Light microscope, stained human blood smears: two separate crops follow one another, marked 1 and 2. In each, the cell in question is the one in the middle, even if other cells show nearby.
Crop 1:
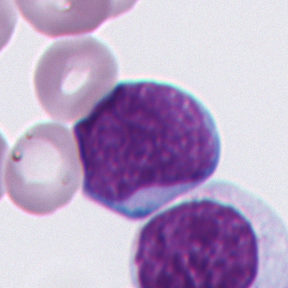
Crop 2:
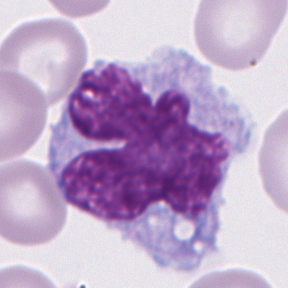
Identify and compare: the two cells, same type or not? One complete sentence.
No, crop 1 is home to a myeloblast, and crop 2 to a monocyte.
